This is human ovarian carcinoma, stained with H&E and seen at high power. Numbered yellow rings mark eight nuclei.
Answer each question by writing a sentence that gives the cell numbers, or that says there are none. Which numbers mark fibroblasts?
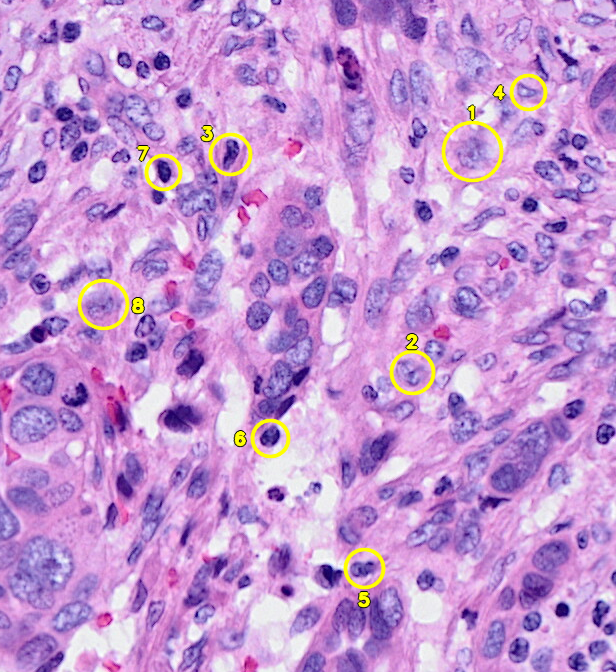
Cells numbered 1, 2, 4 and 8 belong to the group of fibroblasts.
